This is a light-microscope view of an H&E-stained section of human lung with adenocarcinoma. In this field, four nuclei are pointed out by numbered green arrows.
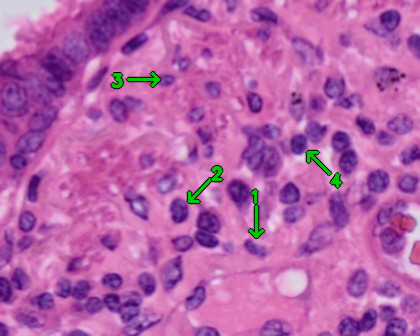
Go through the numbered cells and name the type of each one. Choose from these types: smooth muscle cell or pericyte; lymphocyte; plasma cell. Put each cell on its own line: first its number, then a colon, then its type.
1: lymphocyte
2: lymphocyte
3: smooth muscle cell or pericyte
4: lymphocyte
